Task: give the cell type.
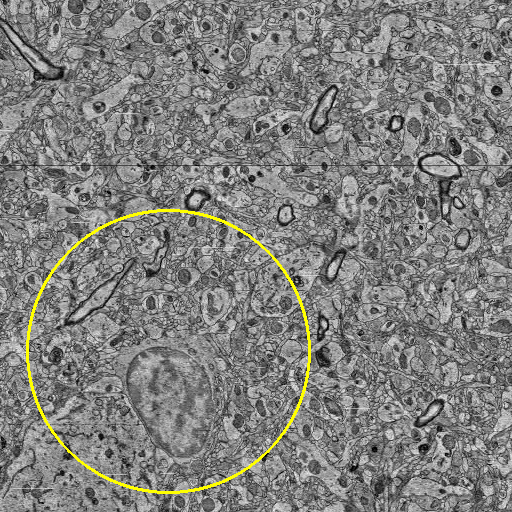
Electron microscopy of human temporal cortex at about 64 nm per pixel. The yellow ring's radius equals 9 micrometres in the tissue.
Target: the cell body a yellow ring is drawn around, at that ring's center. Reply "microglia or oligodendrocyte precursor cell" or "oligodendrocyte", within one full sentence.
In this picture, the cell whose body lies at the ring's center is an oligodendrocyte.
